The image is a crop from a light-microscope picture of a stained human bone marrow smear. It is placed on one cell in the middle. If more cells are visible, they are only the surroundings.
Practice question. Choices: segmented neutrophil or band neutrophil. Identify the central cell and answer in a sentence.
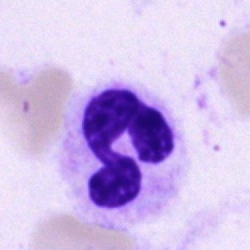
In the middle of this smear crop, the cell is a segmented neutrophil.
